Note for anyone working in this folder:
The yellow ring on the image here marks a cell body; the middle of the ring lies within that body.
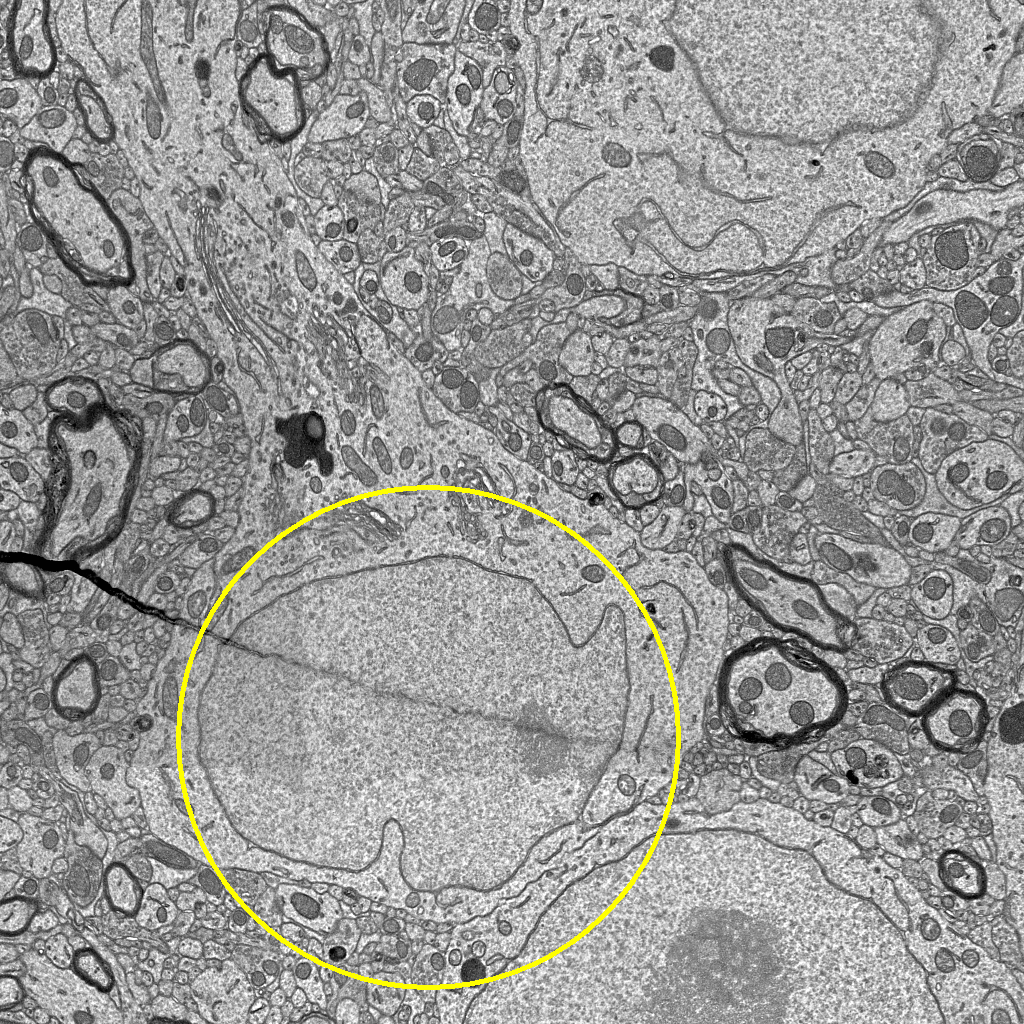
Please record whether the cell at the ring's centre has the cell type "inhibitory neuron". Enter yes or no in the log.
no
